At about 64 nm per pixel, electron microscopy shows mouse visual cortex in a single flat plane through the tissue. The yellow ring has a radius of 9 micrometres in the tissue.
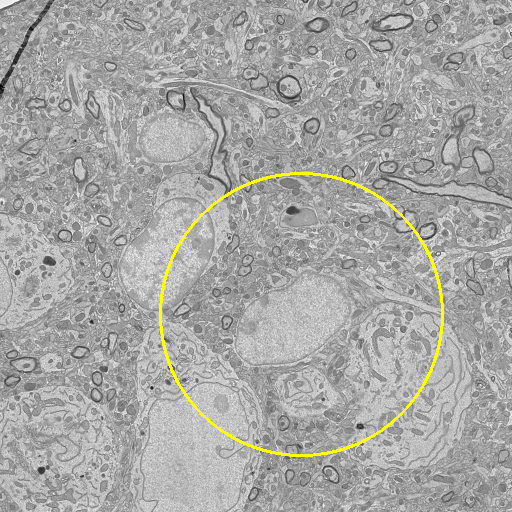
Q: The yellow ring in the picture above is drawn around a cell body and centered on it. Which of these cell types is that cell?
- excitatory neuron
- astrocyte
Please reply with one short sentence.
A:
The cell body at the ring's center belongs to an astrocyte.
